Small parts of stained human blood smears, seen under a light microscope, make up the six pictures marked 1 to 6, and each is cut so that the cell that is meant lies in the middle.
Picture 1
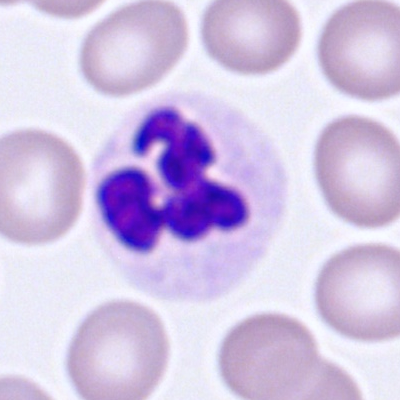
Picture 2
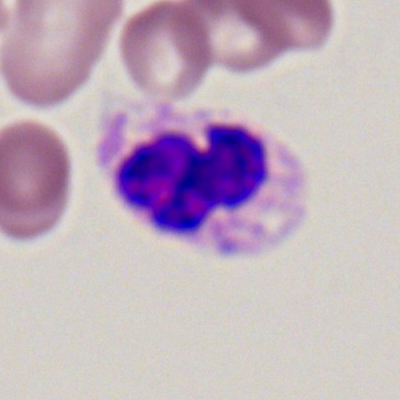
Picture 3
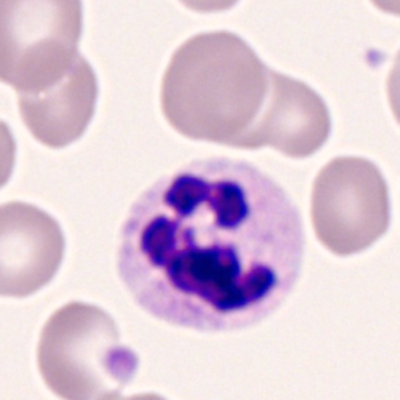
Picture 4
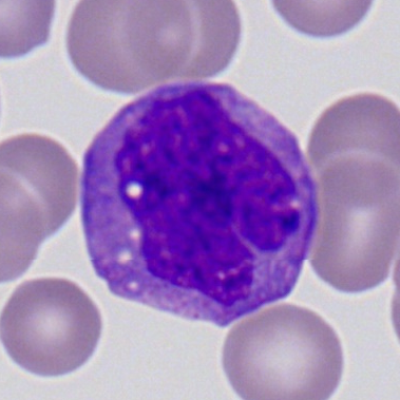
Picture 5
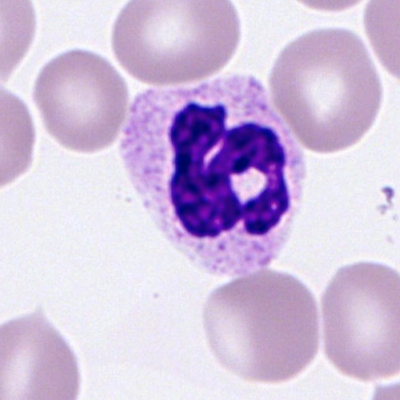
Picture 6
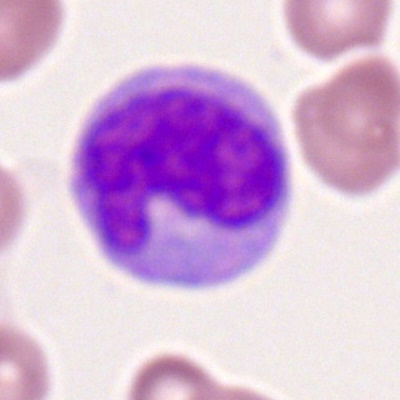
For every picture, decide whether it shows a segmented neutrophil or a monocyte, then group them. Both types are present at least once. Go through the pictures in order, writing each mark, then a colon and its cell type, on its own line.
1: segmented neutrophil
2: segmented neutrophil
3: segmented neutrophil
4: monocyte
5: segmented neutrophil
6: monocyte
